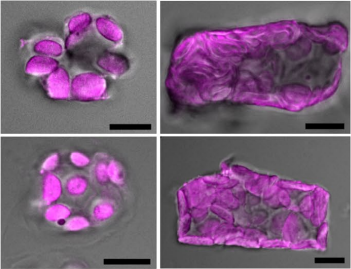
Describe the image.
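Isolated leaf cells of two kinds, shown in fluorescence over a grey transmitted-light background: small rounded mesophyll cells in the left column and large, elongated, box-shaped bundle-sheath cells in the right. In each mesophyll cell a cluster of separate oval chloroplasts, glowing pink, lies against the cell margin, with gaps between them. The bundle-sheath cells are several times longer and are crowded with pink chloroplasts from end to end, so that their outline forms a near-rectangular block of pink; individual chloroplasts are packed closely together there.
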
